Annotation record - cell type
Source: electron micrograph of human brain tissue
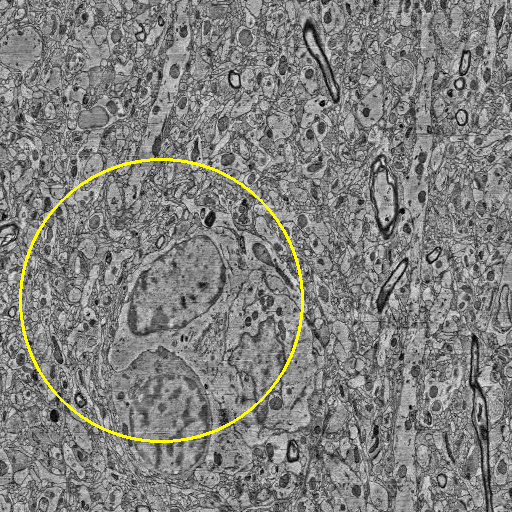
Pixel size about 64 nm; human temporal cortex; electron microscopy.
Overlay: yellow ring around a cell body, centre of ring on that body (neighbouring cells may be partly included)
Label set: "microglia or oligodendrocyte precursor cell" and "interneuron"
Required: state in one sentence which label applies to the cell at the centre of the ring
This cell should be labelled as a microglial cell or oligodendrocyte precursor cell.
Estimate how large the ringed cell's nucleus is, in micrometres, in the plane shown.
In this plane the nucleus is roughly 8 by 5 micrometres, clearly longer than it is wide.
